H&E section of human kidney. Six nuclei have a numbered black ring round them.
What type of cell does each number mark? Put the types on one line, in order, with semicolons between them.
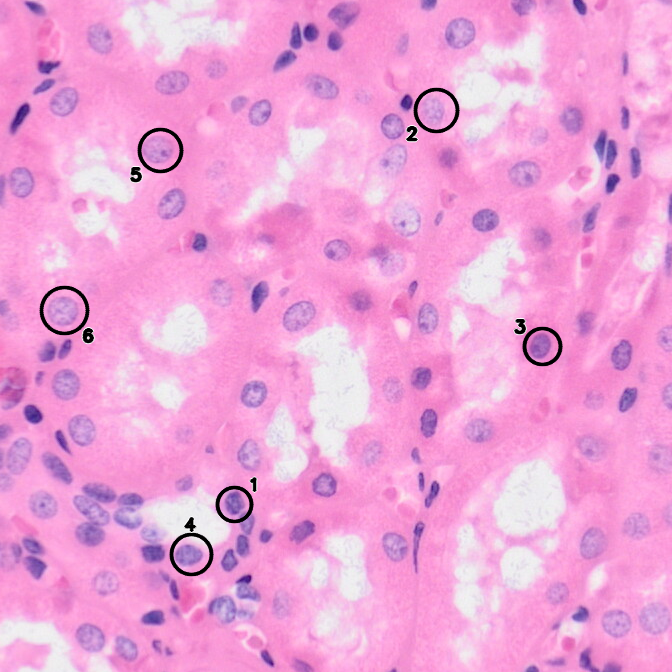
collecting duct cell; proximal tubule cell; proximal tubule cell; collecting duct cell; proximal tubule cell; proximal tubule cell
